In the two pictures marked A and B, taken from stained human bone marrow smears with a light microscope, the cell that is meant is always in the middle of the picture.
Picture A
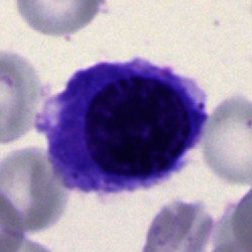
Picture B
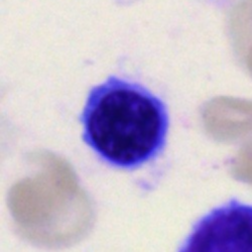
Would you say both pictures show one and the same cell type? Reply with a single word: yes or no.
yes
